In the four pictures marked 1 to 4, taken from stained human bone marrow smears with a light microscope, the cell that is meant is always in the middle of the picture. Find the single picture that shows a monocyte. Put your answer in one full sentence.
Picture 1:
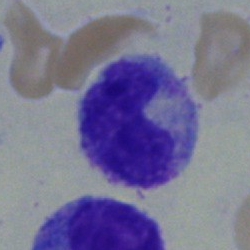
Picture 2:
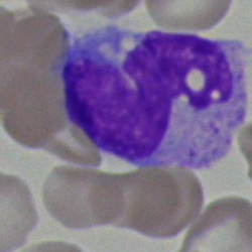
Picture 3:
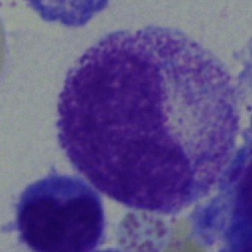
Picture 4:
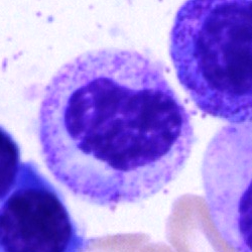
Picture 2 shows the monocyte.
